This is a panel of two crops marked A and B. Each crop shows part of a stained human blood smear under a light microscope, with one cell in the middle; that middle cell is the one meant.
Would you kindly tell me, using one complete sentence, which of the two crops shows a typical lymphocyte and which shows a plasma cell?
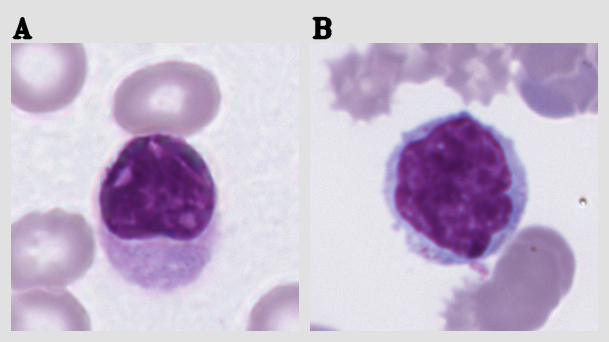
The crop labelled A is a plasma cell, and the crop labelled B is a typical lymphocyte.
